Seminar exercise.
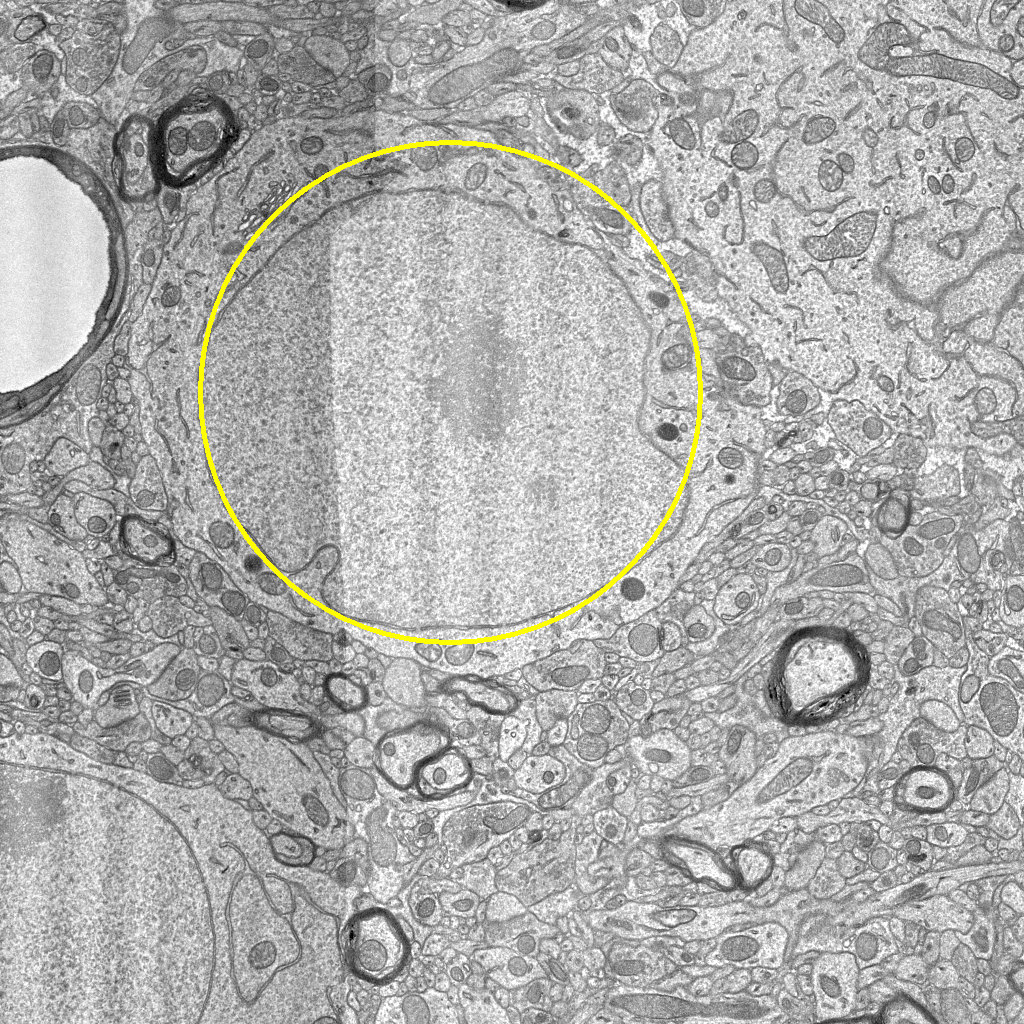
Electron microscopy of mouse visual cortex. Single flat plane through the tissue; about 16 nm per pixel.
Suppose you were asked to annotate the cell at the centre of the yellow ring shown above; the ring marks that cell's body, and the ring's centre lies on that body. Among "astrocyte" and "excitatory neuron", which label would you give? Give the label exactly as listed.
excitatory neuron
